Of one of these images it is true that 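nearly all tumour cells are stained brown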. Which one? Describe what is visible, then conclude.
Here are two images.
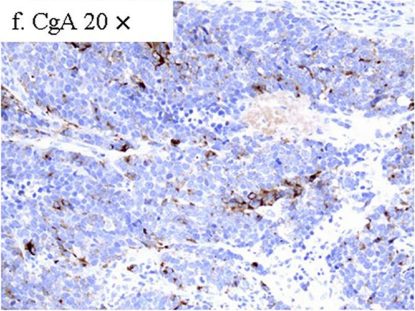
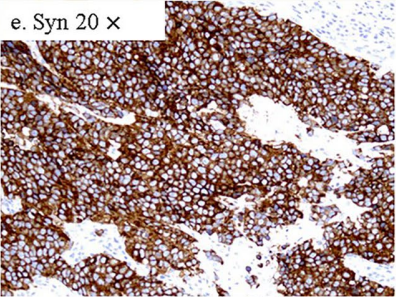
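First image: only scattered cells and small clusters show brown staining among mostly blue cells. Second image: brown staining covers almost every tumour cell in the sheets.
Hence: the second image.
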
